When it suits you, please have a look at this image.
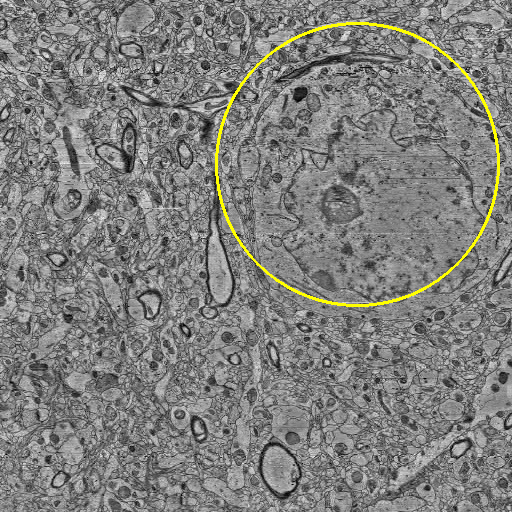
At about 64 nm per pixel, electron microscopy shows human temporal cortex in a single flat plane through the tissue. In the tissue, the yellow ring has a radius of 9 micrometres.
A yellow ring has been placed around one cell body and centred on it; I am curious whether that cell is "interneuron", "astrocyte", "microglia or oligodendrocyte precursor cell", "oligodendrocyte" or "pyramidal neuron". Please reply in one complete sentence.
The ringed cell, an interneuron, has its body at the centre of the yellow ring.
